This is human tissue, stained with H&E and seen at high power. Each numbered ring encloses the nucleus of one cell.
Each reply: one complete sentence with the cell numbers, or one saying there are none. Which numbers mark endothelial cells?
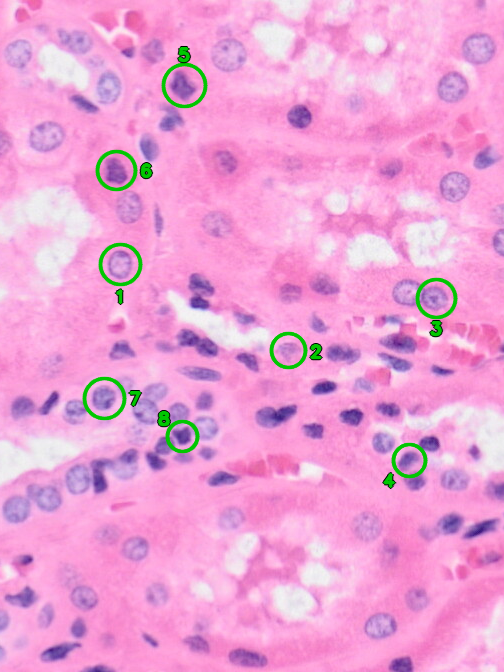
Sorry, but none of the numbered cells are endothelial cells.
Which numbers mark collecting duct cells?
The cells referred to by numbers 7 and 8 are collecting duct cells.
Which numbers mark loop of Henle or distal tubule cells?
The cells numbered 2 and 4 are identified as loop of Henle or distal tubule cells.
